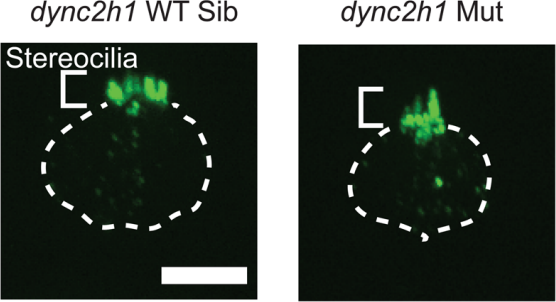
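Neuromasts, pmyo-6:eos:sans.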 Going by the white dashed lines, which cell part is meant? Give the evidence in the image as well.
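Each dashed line encloses a rounded area under a bright apical bundle. The enclosed areas are dark with few faint puncta. So: hair cell bodies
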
